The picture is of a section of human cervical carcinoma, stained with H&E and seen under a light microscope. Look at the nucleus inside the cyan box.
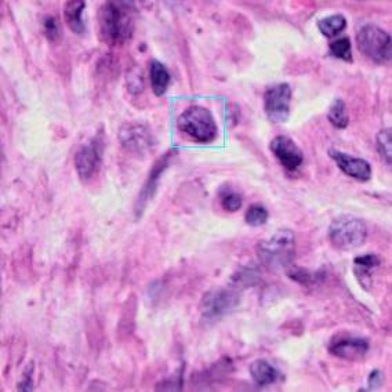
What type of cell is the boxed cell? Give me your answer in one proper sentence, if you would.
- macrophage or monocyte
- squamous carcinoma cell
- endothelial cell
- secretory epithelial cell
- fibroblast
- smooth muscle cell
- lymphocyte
What the boxed cell represents is a macrophage or monocyte.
